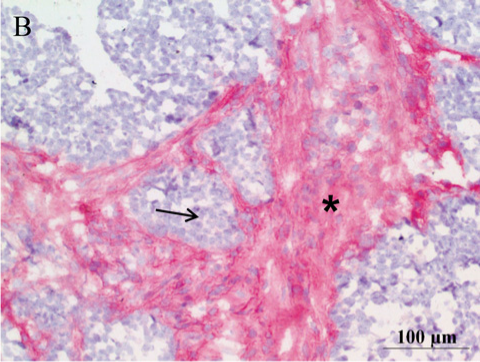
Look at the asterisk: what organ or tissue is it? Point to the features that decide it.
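The asterisk lies on a broad band of wavy red-stained fibres. Few nuclei are scattered within this band, between the cell clusters. So: collagen-rich stroma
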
